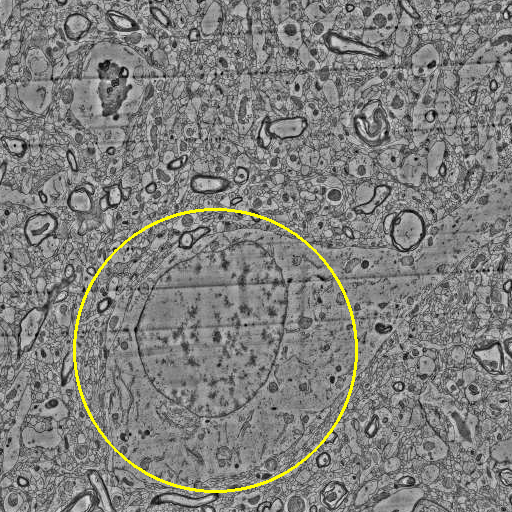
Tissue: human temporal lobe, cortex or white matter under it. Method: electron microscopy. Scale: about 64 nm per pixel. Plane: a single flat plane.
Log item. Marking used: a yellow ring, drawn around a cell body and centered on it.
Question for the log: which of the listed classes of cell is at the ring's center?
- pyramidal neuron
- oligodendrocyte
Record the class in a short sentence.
At the center of the ring lies a pyramidal neuron.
